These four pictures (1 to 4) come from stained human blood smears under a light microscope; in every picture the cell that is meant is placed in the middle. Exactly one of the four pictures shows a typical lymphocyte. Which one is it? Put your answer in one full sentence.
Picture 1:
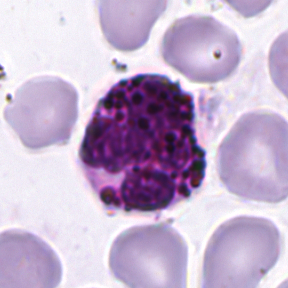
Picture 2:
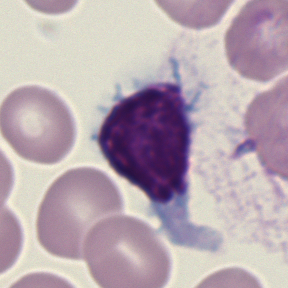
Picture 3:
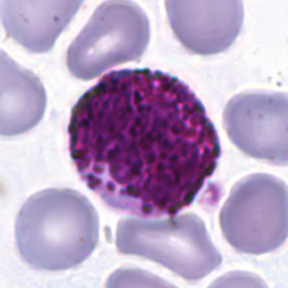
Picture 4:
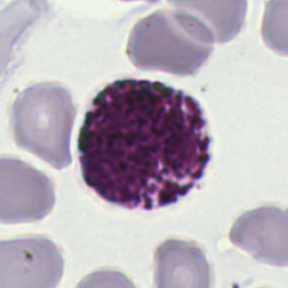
Picture 2 shows the typical lymphocyte.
